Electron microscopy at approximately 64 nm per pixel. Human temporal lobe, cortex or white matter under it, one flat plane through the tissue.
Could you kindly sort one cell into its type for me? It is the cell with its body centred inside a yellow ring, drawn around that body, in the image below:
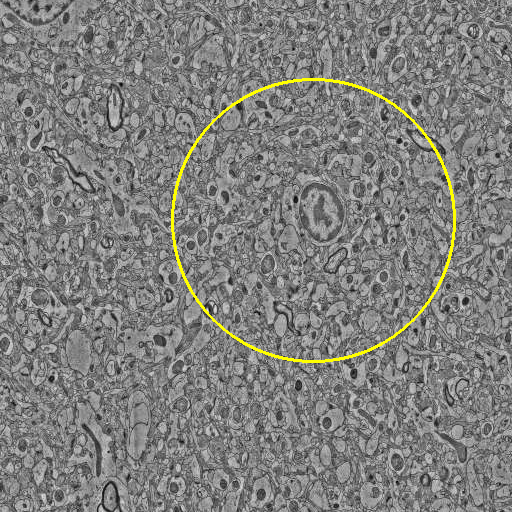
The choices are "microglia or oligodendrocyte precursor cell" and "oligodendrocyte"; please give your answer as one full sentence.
The cell whose body lies centred in the yellow ring here is a microglial cell or oligodendrocyte precursor cell.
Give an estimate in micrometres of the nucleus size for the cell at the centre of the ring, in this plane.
Approximately 4 by 3 micrometers in this plane.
